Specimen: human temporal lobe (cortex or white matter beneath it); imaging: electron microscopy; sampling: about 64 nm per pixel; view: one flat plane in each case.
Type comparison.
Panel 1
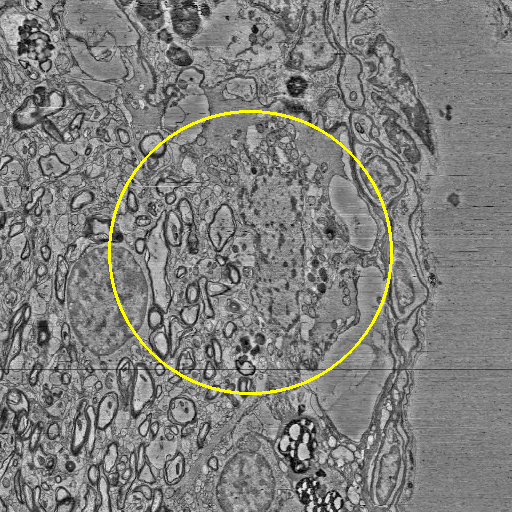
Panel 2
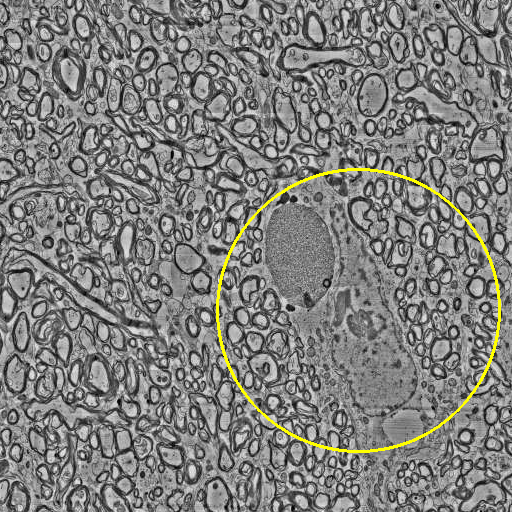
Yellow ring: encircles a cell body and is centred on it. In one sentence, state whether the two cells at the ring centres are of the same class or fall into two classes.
In these panels, the two cells at the ring centres are of the same class.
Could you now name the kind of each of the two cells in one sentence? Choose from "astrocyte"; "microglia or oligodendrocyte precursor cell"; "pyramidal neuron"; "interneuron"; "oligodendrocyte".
In both pictures the ring is centred on an astrocyte.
